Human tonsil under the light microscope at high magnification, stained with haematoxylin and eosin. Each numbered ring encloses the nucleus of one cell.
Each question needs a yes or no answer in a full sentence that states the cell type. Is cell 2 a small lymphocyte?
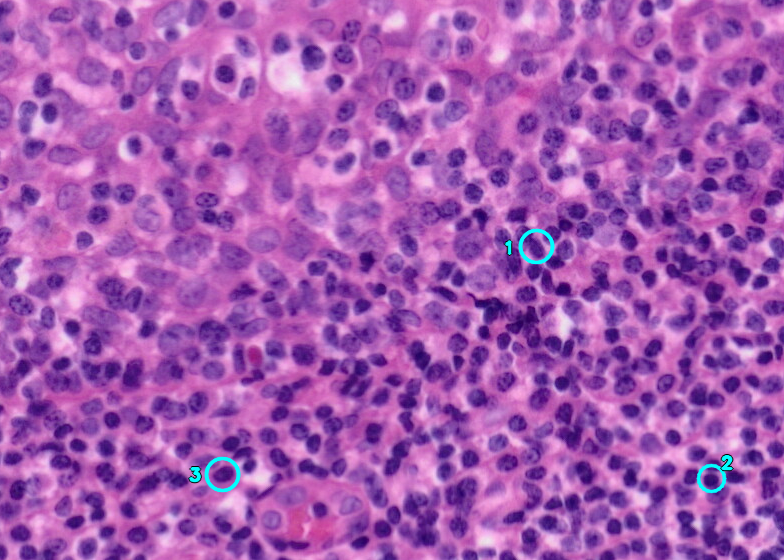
Yes, and to answer plainly, cell 2 is a small lymphocyte.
